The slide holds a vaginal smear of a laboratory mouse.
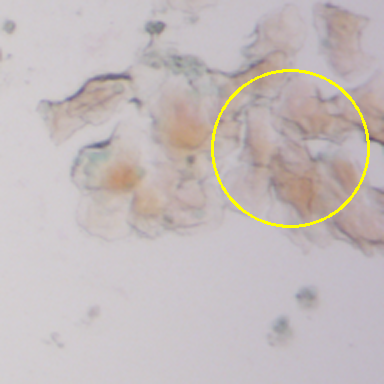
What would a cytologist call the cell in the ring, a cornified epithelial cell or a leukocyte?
A cytologist would call it a cornified epithelial cell.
